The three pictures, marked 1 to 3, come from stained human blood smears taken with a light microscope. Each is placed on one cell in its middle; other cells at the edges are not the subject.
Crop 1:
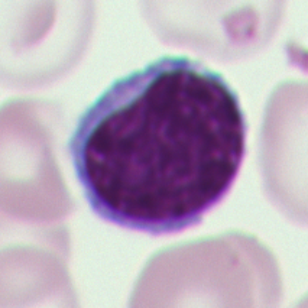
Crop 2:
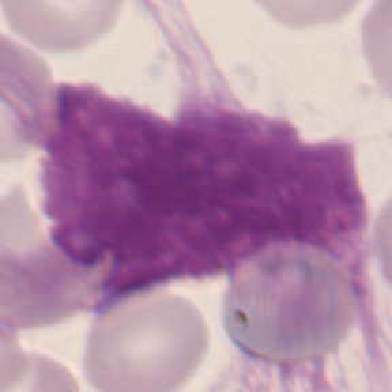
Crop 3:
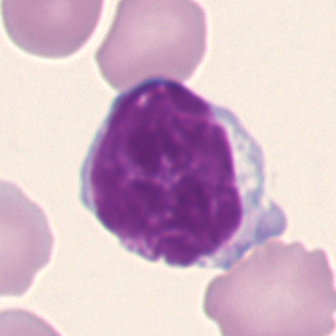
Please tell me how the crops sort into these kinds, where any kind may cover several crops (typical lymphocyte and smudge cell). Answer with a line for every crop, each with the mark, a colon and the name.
1: typical lymphocyte
2: smudge cell
3: typical lymphocyte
